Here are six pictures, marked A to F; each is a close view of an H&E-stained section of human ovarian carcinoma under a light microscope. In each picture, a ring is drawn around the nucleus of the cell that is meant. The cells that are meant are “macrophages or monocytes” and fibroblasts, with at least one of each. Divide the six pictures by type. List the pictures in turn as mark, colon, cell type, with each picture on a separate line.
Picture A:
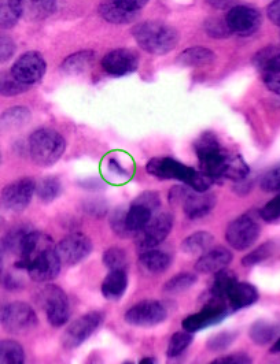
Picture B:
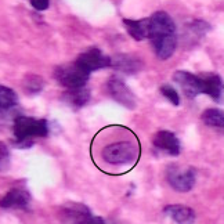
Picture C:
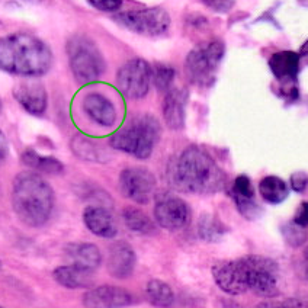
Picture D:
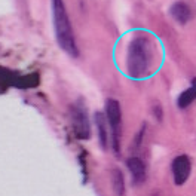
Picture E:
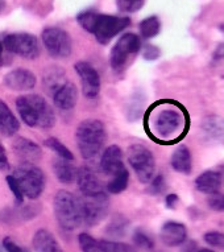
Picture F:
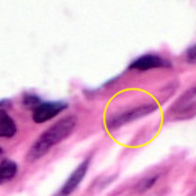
A: macrophage or monocyte
B: macrophage or monocyte
C: macrophage or monocyte
D: fibroblast
E: macrophage or monocyte
F: fibroblast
